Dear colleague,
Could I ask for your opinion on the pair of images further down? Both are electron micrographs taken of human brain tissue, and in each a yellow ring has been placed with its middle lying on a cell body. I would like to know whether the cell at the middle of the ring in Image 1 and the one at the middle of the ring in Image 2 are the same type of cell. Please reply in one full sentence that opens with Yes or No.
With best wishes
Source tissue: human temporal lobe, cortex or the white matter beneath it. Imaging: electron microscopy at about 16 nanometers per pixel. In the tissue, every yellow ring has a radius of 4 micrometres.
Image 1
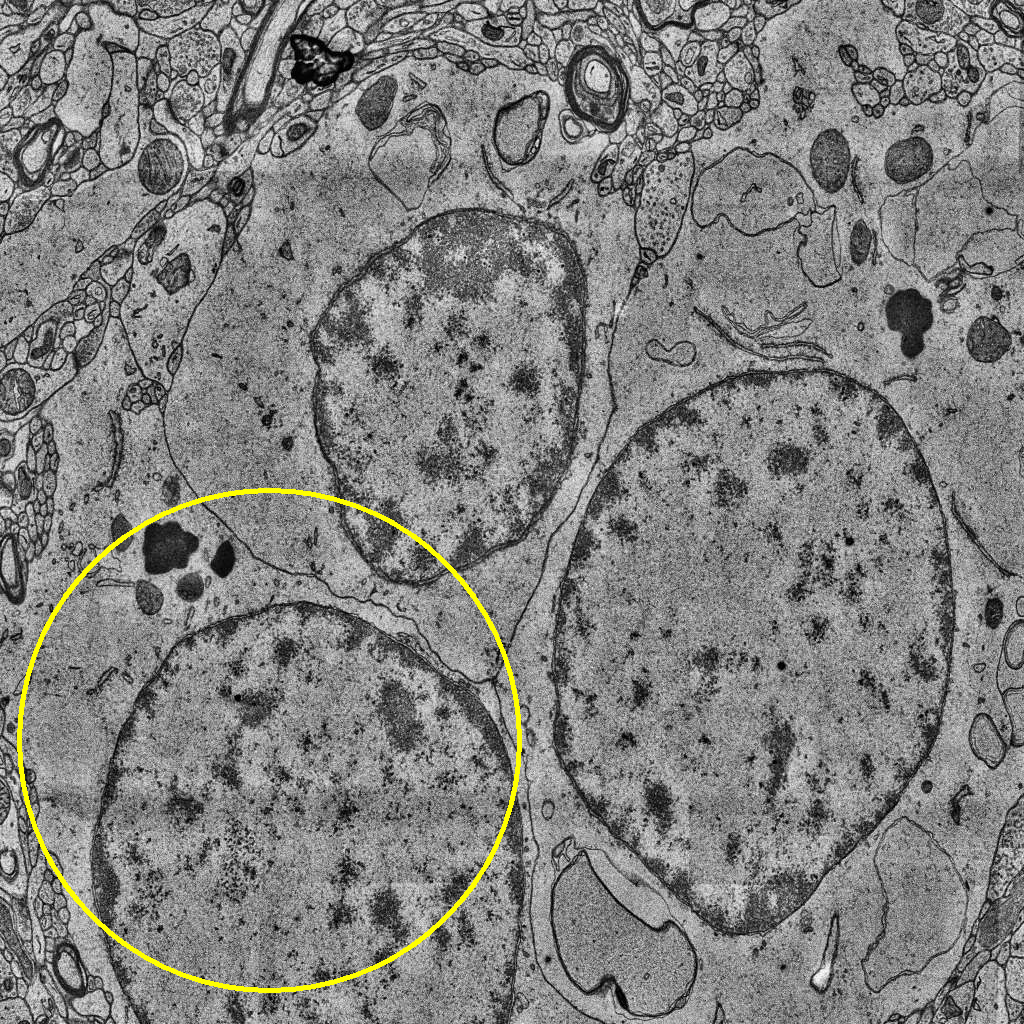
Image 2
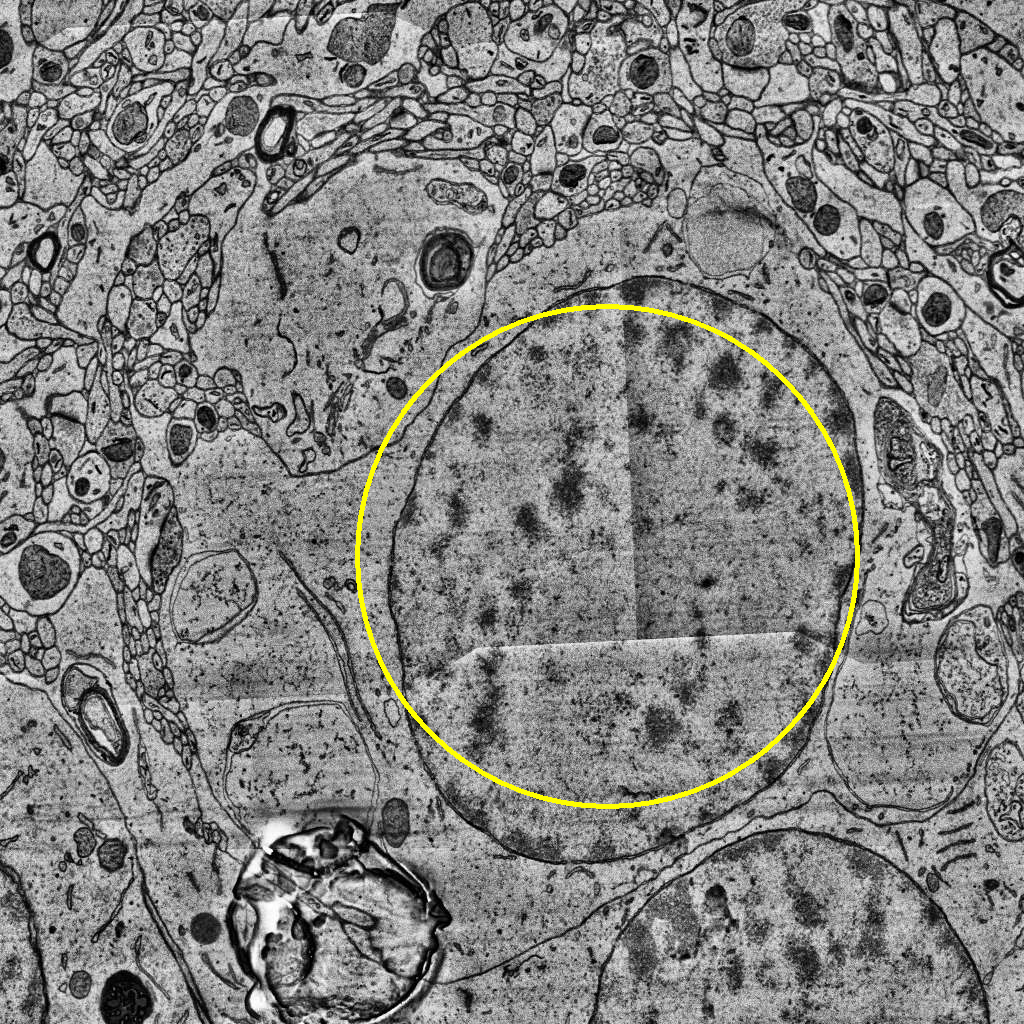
Yes, the cells at the ring centres in Image 1 and Image 2 are of one type.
